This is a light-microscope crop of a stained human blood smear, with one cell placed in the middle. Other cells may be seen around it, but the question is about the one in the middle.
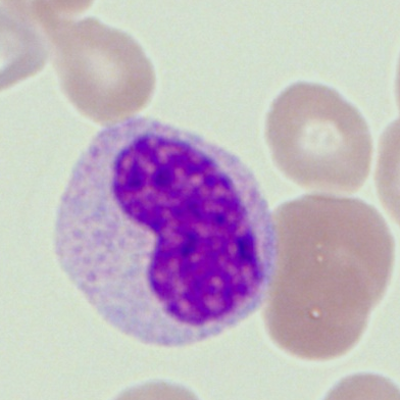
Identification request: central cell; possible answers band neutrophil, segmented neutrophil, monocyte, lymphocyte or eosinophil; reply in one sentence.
Seen at the centre of the crop is a band neutrophil.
